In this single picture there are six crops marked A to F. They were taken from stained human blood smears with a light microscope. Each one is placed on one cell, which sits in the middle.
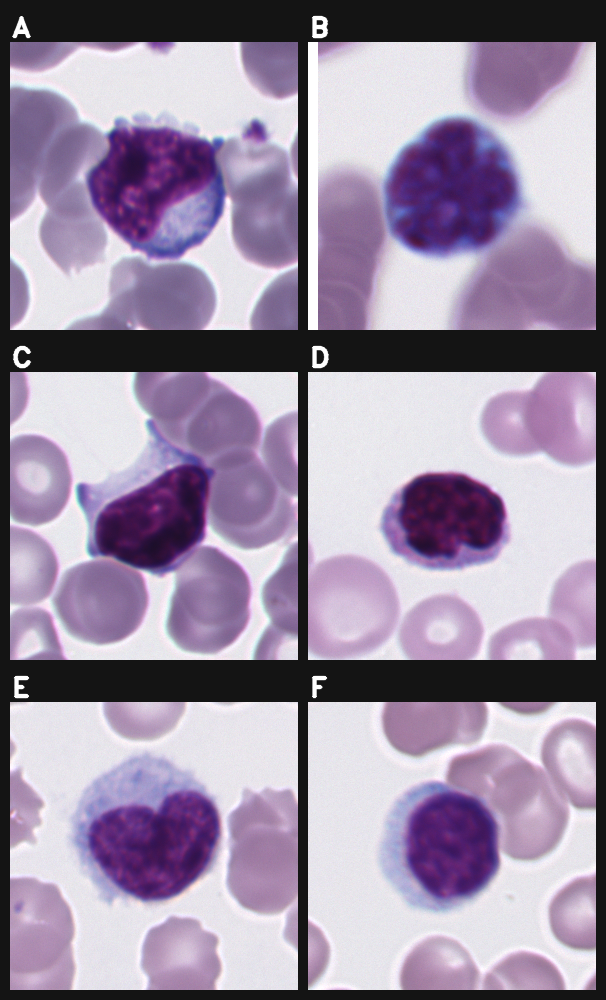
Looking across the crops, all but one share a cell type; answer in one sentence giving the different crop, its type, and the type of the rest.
Crop E is the only crop with a hairy cell, the others all showing typical lymphocytes.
